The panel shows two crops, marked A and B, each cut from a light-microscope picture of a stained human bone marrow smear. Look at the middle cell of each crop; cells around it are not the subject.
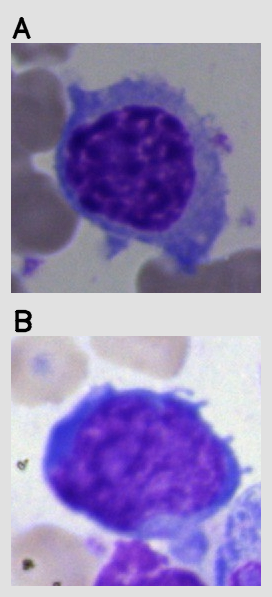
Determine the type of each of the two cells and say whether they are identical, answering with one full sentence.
No, it is a hairy cell that crop A shows, and a blast that crop B shows.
